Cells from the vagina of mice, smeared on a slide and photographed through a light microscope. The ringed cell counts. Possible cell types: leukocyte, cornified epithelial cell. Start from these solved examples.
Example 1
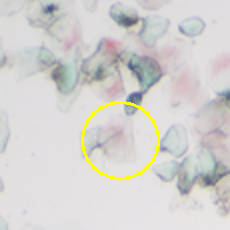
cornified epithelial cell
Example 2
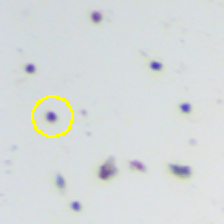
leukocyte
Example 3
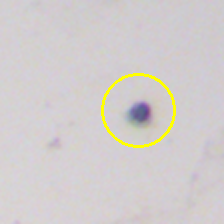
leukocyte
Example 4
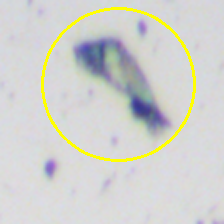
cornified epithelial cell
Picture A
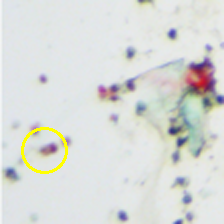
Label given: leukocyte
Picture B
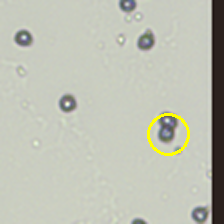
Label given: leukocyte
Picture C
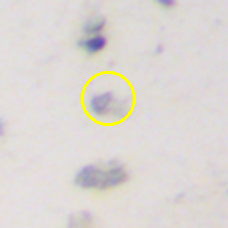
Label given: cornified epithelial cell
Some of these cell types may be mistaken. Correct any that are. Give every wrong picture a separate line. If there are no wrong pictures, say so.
C is labelled cornified epithelial cell; correct label: leukocyte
